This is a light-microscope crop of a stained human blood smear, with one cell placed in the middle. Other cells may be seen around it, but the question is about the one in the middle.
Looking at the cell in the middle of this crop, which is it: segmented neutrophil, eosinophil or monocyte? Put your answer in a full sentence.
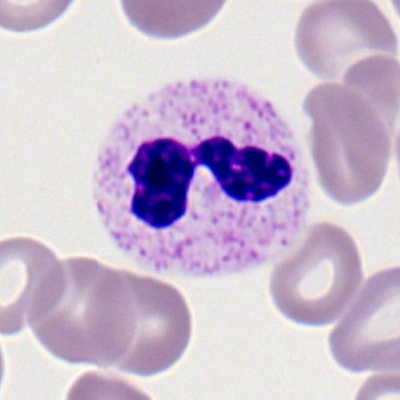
Here the centrally located cell is a segmented neutrophil.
